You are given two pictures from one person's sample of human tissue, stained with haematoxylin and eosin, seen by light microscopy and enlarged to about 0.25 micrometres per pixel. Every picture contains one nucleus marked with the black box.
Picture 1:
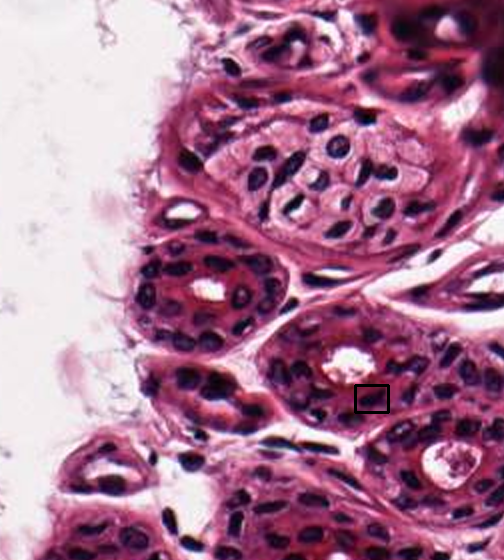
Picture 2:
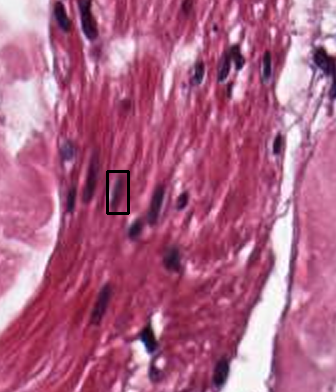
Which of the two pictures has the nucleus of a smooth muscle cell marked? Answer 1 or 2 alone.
2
